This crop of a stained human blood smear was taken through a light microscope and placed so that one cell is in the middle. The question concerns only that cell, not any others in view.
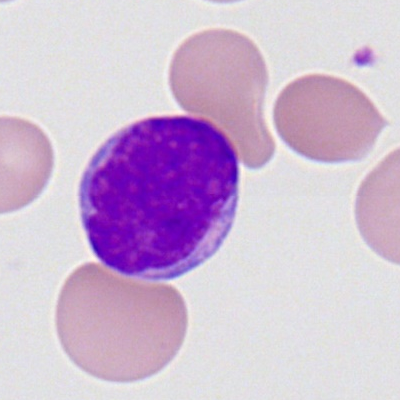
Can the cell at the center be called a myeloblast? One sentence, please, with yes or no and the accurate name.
Yes, the cell found in the middle is a myeloblast.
